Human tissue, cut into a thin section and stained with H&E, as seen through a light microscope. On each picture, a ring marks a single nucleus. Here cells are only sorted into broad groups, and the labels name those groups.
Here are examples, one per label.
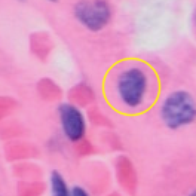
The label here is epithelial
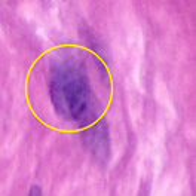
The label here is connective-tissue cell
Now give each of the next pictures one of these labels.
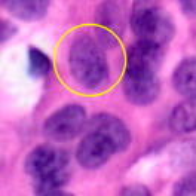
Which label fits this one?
epithelial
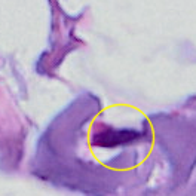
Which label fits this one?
connective-tissue cell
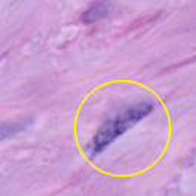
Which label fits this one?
connective-tissue cell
